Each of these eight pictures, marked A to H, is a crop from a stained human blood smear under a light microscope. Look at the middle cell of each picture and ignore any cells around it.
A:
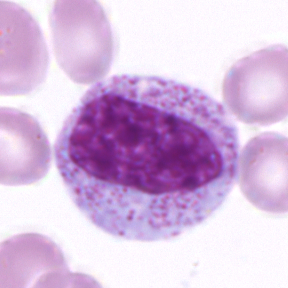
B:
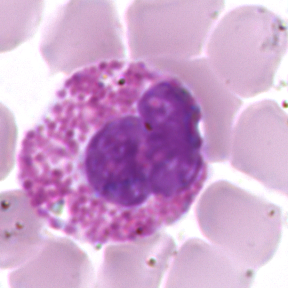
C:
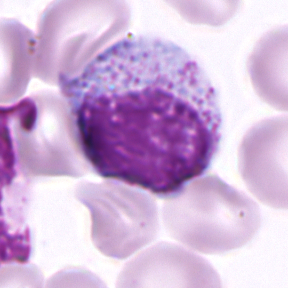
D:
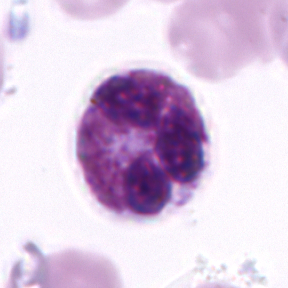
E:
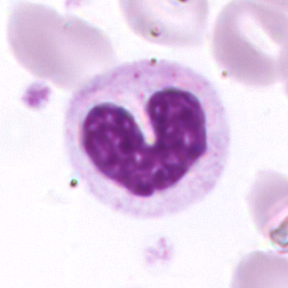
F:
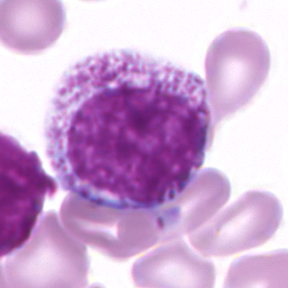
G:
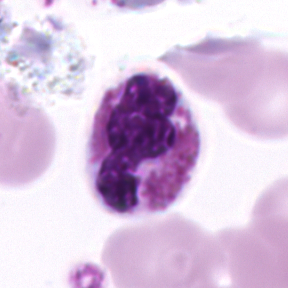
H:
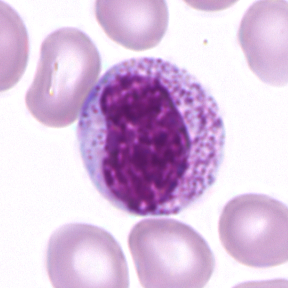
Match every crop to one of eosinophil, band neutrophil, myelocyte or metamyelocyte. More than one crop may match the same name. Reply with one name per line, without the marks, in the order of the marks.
myelocyte
eosinophil
metamyelocyte
eosinophil
band neutrophil
myelocyte
eosinophil
metamyelocyte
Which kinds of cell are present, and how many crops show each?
eosinophil: 3
myelocyte: 2
metamyelocyte: 2
band neutrophil: 1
